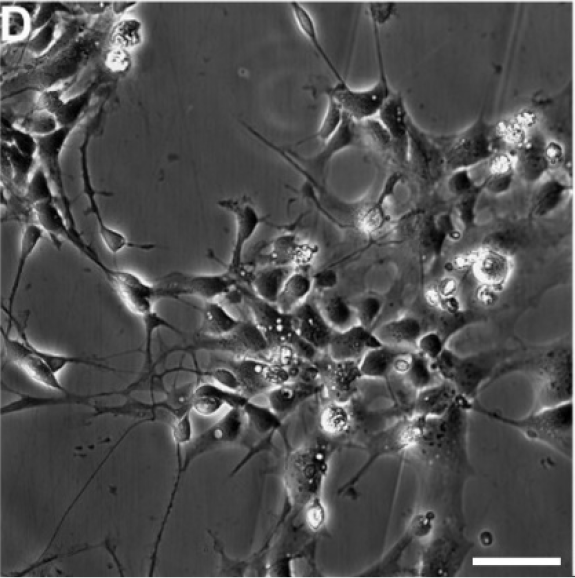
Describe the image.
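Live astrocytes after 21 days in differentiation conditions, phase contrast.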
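From the cell bodies run long, thin, branching processes that reach across the dish and link one group with another. Between the groups lie broad, smooth areas of bare substrate. Some cell bodies are flattened and irregular, while others are rounded and bright, with granular, refractile contents.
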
